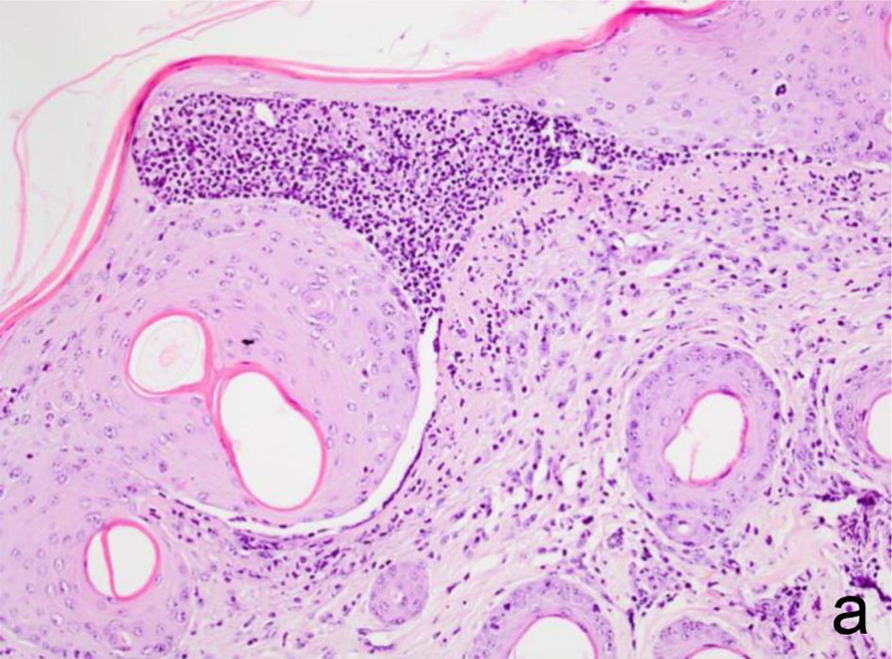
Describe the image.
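This is skin with a subepidermal blister filled with pus and an inflamed superficial dermis. A dense collection of small, dark, closely packed nuclei occupies a space in the upper skin, bordered above by a pink keratin layer. To the left lies thick epidermal tissue with pale cells, and round cross-sections of hair follicles with pink keratin rims appear throughout. The connective tissue beneath and between the follicles holds many scattered small dark nuclei. A narrow clear cleft curves along the edge of the epidermal tissue beside the cell collection.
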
